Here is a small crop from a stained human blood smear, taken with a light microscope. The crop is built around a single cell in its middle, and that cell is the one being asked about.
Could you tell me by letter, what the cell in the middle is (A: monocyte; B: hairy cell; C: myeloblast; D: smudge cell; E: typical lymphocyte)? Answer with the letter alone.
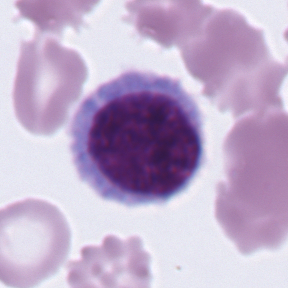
B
